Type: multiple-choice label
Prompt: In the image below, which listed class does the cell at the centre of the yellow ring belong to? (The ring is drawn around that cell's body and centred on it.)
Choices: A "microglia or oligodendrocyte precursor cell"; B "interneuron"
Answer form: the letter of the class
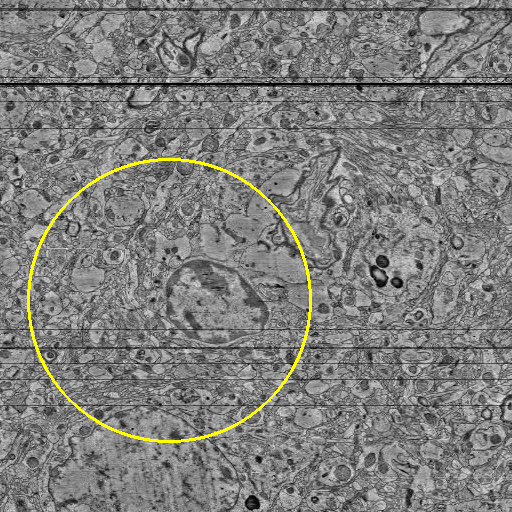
A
